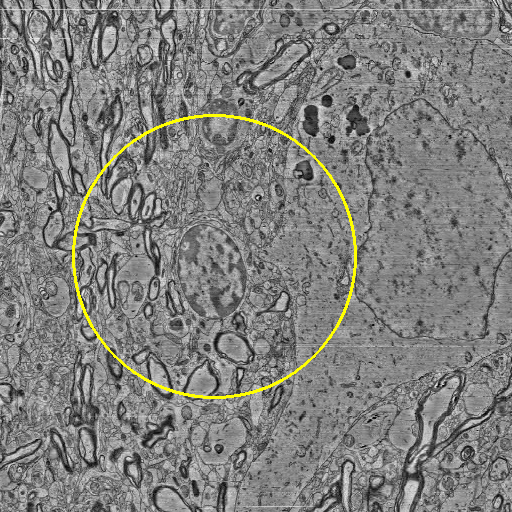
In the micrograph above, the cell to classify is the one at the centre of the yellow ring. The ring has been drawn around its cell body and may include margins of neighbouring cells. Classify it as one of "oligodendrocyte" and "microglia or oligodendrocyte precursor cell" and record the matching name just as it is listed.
microglia or oligodendrocyte precursor cell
